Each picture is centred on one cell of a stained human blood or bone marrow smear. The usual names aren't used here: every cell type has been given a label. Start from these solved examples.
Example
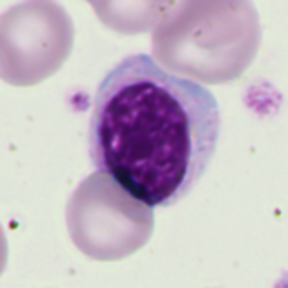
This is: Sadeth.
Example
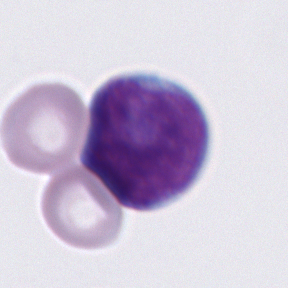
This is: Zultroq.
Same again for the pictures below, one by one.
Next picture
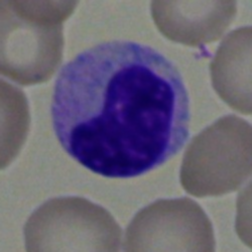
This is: Sadeth.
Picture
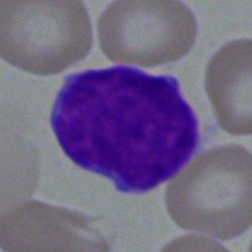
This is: Zultroq.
